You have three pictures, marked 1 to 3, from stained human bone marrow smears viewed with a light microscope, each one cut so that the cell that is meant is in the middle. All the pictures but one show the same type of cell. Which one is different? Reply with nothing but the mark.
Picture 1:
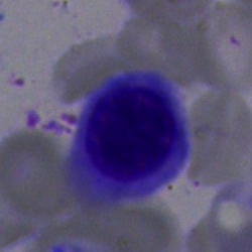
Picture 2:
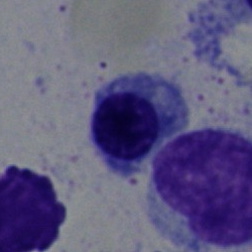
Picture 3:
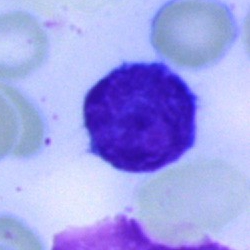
3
